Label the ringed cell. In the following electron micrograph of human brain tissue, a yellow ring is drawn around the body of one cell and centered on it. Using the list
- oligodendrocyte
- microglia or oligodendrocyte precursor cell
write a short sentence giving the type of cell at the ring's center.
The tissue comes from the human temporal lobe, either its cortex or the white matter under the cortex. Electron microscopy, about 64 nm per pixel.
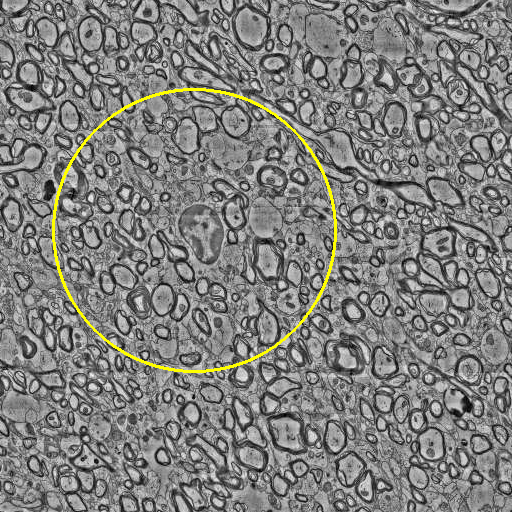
The cell body at the ring's center is that of a microglial cell or oligodendrocyte precursor cell.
